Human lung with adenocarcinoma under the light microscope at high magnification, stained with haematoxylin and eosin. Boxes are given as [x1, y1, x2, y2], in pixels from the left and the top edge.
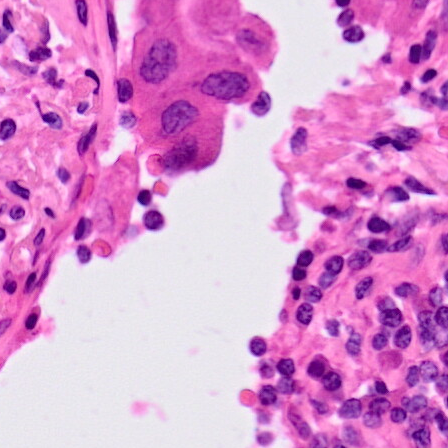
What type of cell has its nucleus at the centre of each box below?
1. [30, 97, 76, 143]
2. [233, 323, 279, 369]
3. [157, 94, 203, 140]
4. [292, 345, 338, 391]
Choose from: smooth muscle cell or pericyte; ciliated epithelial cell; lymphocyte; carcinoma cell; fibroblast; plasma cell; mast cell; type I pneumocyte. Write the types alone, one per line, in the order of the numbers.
lymphocyte
lymphocyte
carcinoma cell
plasma cell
